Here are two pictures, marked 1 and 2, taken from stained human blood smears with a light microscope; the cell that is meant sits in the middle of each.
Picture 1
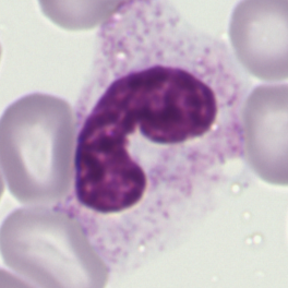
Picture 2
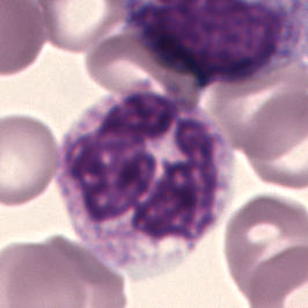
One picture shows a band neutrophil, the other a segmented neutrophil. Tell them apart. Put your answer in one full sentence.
The cell in picture 1 is a band neutrophil, and the one in picture 2 is a segmented neutrophil.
